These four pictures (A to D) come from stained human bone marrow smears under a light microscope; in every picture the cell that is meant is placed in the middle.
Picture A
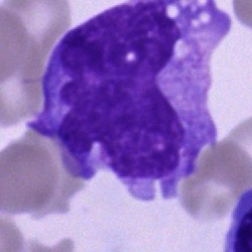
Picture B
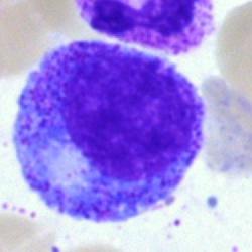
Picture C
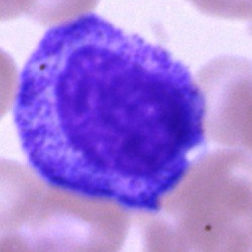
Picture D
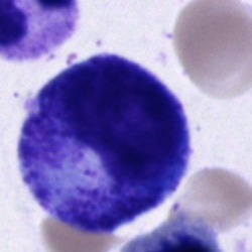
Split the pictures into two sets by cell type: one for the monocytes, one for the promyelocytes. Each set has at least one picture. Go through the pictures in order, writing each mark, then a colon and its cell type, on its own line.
A: monocyte
B: promyelocyte
C: promyelocyte
D: promyelocyte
